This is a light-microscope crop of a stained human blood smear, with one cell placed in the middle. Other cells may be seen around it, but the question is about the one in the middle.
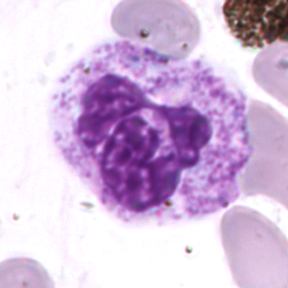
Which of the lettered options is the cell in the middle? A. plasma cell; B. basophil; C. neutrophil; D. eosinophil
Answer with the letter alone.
C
